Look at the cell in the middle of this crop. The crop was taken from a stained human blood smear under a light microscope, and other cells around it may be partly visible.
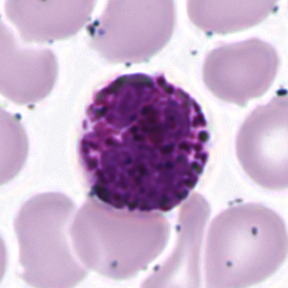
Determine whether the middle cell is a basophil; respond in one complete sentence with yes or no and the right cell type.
Yes, the cell lying in the centre of the crop is identified as a basophil.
